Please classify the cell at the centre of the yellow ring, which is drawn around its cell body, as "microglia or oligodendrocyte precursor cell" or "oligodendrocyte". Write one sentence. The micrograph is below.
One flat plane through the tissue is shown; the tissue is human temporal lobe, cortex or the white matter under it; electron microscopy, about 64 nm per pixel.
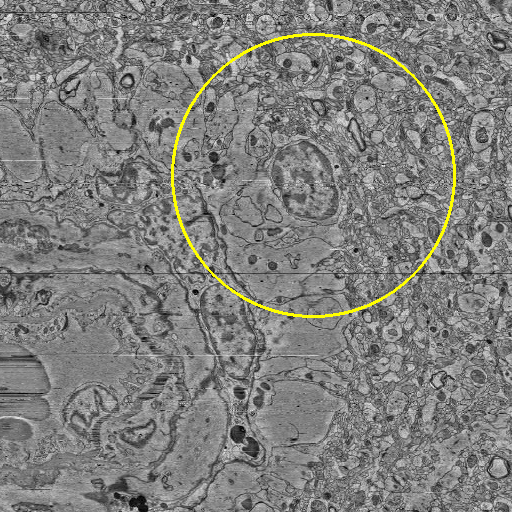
The cell at the ring's centre is classified as a microglial cell or oligodendrocyte precursor cell.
